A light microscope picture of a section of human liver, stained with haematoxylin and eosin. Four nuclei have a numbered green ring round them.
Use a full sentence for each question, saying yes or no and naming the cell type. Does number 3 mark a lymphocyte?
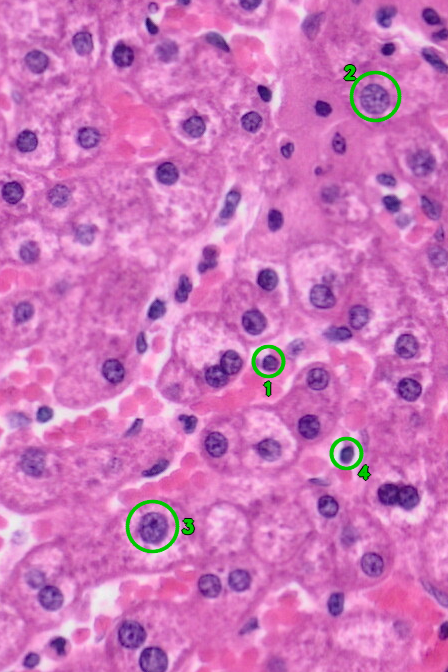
No, cell 3 is to be classed as a hepatocyte, not a lymphocyte.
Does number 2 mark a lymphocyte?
No, a lymphocyte is not what cell 2 is; it is a hepatocyte.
